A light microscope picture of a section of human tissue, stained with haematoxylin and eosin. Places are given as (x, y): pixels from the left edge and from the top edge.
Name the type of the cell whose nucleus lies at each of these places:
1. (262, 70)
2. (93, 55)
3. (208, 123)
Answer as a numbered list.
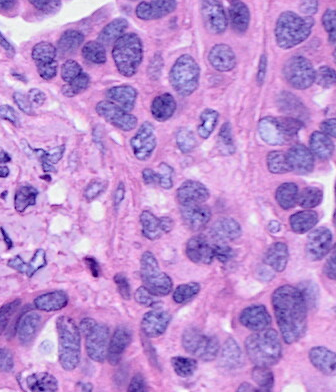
1. fibroblast
2. carcinoma cell
3. fibroblast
